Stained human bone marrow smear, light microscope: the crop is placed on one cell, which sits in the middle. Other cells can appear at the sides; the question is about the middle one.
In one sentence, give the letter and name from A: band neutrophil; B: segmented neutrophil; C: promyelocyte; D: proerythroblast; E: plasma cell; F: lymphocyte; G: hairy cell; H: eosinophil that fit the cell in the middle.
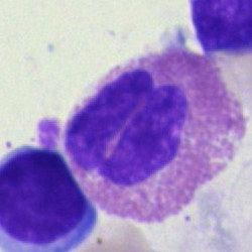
Option H, which names the central cell as an eosinophil, is correct.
